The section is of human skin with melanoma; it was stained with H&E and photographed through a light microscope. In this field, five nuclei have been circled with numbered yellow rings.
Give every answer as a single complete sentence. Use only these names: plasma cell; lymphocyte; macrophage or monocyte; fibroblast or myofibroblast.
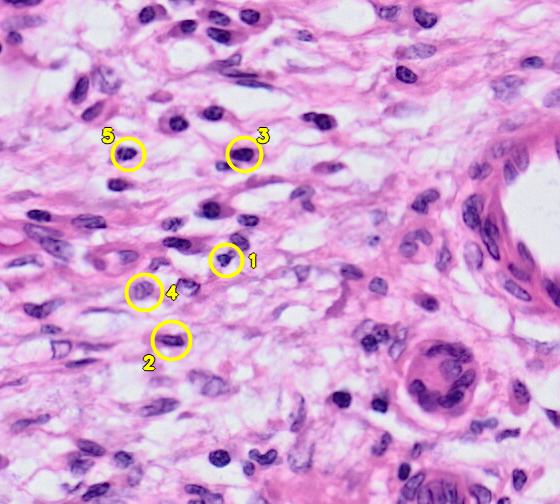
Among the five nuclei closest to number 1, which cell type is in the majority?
Most of the five nuclei nearest to number 1 are those of plasma cells.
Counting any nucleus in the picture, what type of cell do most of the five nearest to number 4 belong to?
Fibroblasts or myofibroblasts make up most of the five nuclei closest to number 4.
